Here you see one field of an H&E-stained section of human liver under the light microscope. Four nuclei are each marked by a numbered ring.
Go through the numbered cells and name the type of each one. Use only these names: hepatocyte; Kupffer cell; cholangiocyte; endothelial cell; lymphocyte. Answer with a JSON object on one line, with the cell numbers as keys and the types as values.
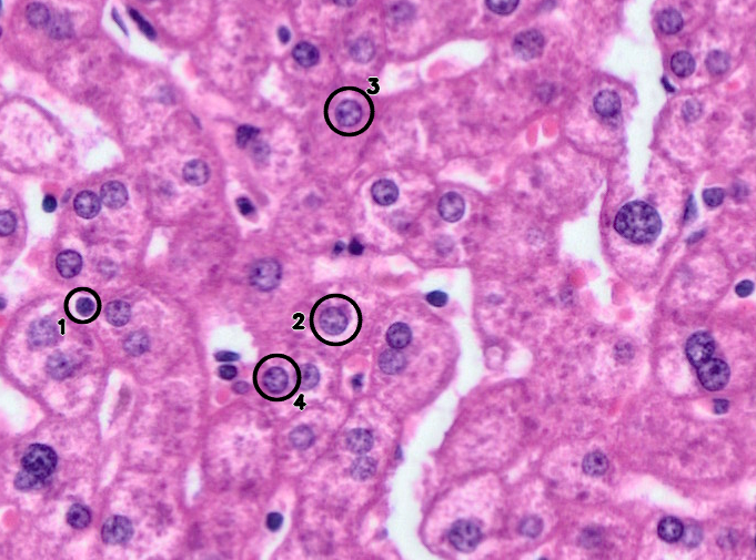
{"1": "lymphocyte", "2": "hepatocyte", "3": "hepatocyte", "4": "hepatocyte"}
